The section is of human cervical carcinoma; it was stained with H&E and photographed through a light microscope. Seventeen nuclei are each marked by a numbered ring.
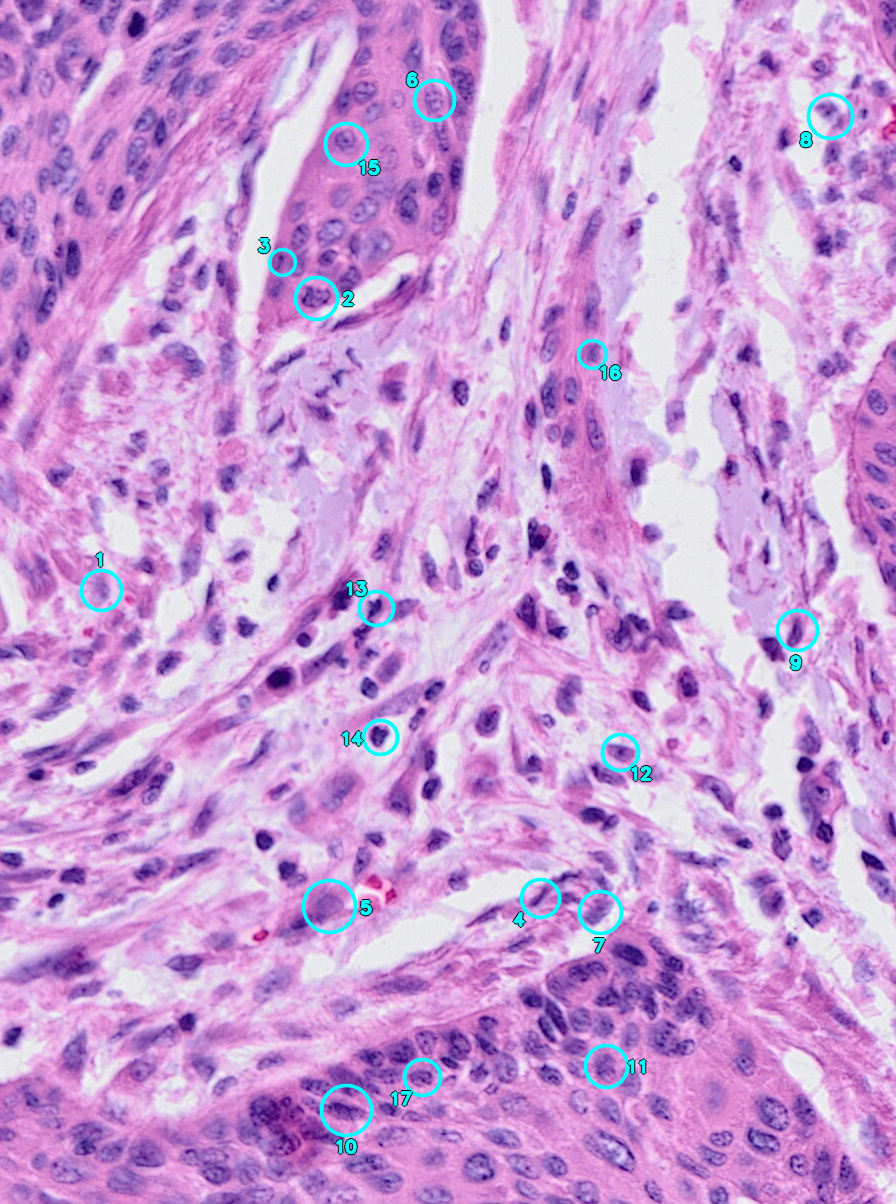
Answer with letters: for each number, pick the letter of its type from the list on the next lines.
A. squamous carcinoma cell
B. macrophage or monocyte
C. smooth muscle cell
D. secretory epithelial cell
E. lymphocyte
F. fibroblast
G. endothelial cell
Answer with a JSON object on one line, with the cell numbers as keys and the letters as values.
{"1": "F", "2": "A", "3": "A", "4": "F", "5": "G", "6": "A", "7": "F", "8": "F", "9": "B", "10": "A", "11": "A", "12": "F", "13": "E", "14": "E", "15": "A", "16": "C", "17": "A"}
